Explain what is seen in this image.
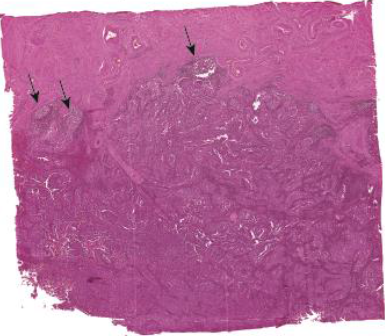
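The middle and lower part is filled with irregular, crowded tumor tissue with many small gland-like spaces. Along the upper edge of the tumor there are a few small, rounded, denser purple nodules.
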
